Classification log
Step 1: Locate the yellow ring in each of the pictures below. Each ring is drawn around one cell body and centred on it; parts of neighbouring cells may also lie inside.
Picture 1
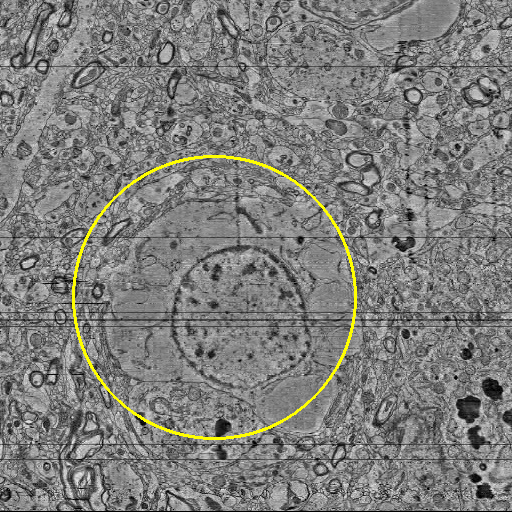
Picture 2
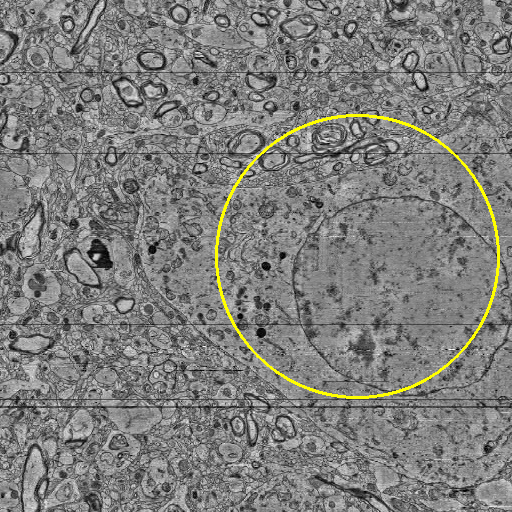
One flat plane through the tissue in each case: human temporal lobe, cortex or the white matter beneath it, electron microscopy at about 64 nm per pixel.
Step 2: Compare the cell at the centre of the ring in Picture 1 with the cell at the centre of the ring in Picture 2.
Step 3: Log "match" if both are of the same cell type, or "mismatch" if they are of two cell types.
mismatch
